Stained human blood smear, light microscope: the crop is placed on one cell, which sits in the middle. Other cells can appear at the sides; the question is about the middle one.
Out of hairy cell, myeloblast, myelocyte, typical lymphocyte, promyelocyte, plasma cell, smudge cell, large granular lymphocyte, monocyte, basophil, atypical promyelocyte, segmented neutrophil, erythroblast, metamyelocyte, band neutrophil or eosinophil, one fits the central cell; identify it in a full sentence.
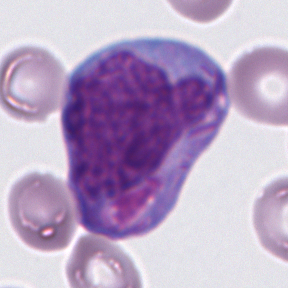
Here the centrally located cell is an atypical promyelocyte.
